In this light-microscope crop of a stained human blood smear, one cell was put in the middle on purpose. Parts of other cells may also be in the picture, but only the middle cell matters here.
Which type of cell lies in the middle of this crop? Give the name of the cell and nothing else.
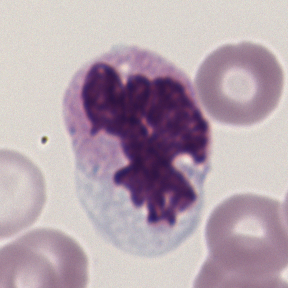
neutrophil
